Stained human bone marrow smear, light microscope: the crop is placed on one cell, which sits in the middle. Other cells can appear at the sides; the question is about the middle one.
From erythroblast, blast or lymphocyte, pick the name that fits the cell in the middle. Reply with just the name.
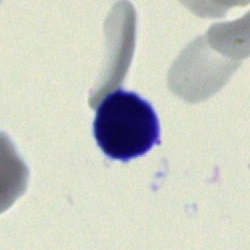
lymphocyte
